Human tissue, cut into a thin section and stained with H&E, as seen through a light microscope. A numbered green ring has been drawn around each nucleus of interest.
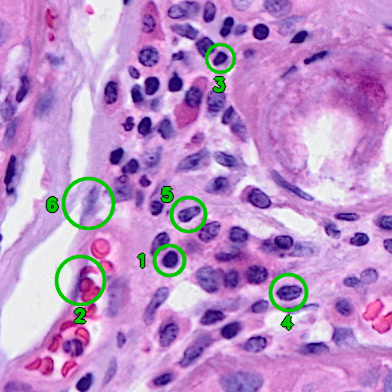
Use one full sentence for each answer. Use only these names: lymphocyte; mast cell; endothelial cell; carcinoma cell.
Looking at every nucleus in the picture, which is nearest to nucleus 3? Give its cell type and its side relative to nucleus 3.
The nearest one is a lymphocyte, found above and to the left of nucleus 3.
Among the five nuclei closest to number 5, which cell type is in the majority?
The majority of the five nuclei closest to number 5 belong to mast cells.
